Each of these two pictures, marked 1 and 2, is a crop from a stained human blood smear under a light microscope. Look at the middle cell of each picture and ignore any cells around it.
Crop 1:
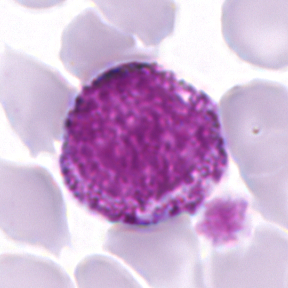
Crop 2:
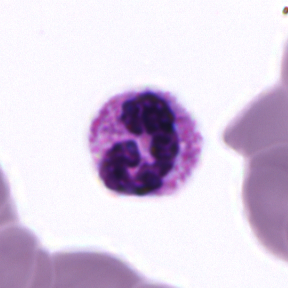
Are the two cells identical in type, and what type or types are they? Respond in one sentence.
No, crop 1 is where a myelocyte is, and crop 2 is where an eosinophil is.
